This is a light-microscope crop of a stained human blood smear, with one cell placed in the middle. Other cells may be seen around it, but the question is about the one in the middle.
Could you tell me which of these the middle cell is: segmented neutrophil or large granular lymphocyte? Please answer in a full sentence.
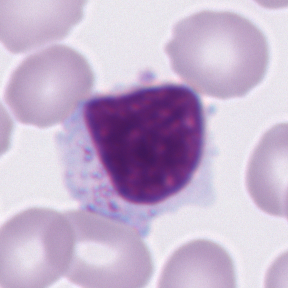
For this crop, the central cell is a large granular lymphocyte.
